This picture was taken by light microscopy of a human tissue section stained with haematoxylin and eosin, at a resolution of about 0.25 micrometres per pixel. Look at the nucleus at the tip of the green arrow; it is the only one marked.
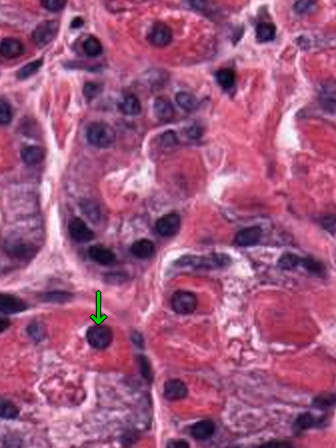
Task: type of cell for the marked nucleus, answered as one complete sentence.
The mark falls on a nucleus belonging to a parietal cell.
